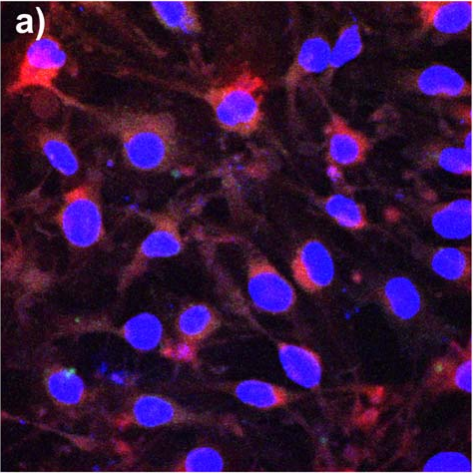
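The red cytoplasm is thin and often gathered in a cap beside the nucleus. Slender red processes run between the cells and form a loose network over the dark background. The cells are spread apart with open spaces between them. Only a few scattered green dots are present.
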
